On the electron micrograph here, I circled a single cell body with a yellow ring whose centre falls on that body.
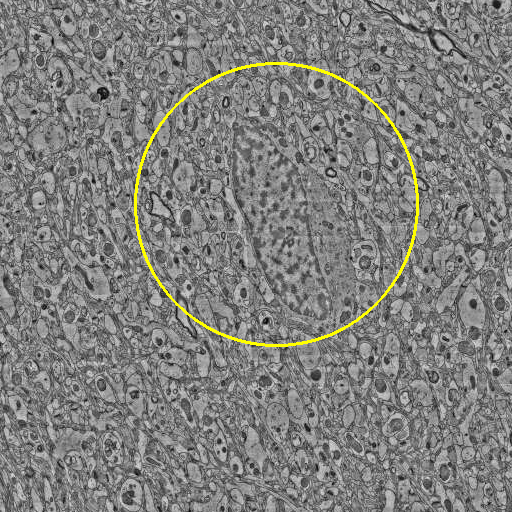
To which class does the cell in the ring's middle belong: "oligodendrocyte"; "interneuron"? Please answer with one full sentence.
In this picture, the cell body circled at the ring's centre belongs to an oligodendrocyte.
